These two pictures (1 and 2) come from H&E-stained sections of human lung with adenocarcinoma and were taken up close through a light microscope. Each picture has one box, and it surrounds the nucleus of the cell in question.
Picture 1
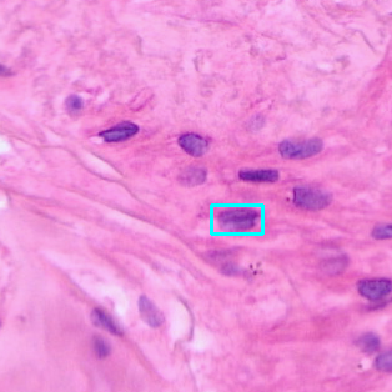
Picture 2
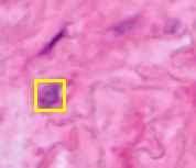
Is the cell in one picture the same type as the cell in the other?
yes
